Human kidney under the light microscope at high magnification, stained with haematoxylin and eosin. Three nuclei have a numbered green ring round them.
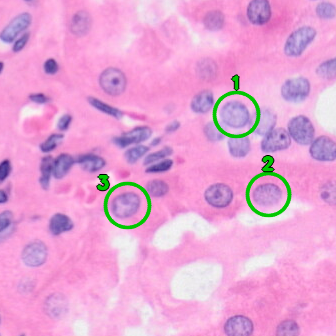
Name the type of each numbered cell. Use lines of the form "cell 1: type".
cell 1: collecting duct cell
cell 2: proximal tubule cell
cell 3: proximal tubule cell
